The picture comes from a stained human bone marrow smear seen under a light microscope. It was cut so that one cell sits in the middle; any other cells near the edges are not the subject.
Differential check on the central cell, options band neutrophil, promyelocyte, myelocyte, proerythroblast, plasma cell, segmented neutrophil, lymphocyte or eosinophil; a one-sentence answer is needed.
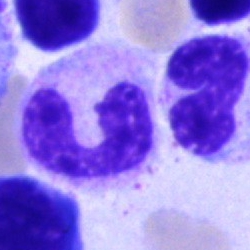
This crop's central cell is a band neutrophil.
